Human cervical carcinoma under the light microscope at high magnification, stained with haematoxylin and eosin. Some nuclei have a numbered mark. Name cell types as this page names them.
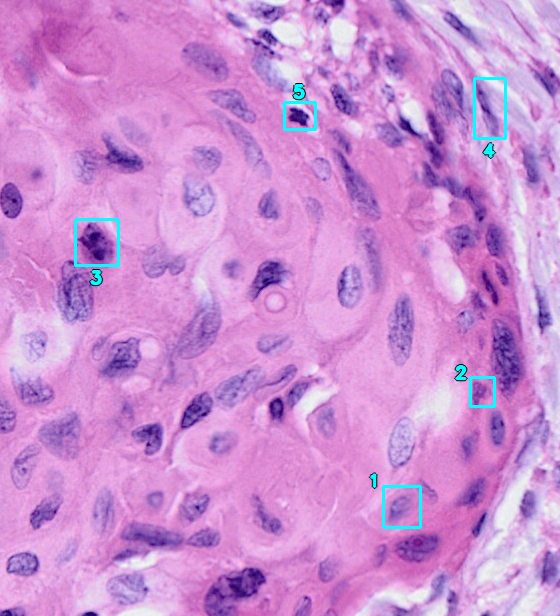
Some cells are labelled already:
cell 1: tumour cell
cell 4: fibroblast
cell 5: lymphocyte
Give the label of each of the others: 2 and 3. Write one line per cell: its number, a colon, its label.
2: tumour cell
3: tumour cell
